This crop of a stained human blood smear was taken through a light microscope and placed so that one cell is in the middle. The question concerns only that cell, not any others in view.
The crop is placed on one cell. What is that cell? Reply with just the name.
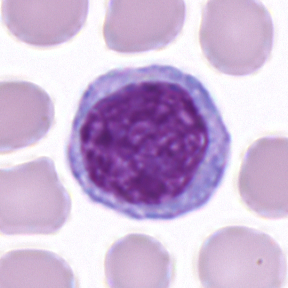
plasma cell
